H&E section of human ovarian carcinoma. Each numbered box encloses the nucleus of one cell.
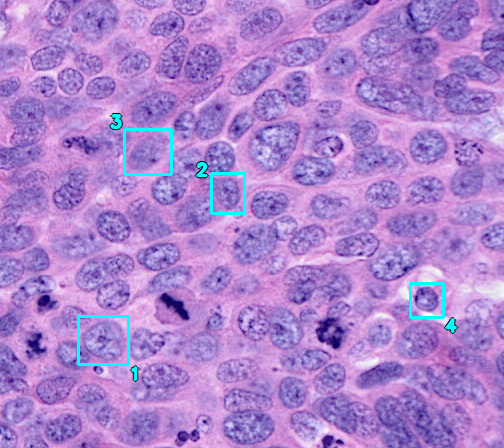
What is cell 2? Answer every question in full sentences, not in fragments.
The cell numbered 2 has been identified as a carcinoma cell.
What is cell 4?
Identified by the number 4, the cell is a macrophage or monocyte.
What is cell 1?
The cell indicated with the number 1 is classed as a carcinoma cell.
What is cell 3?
The cell numbered 3 has been identified as a carcinoma cell.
